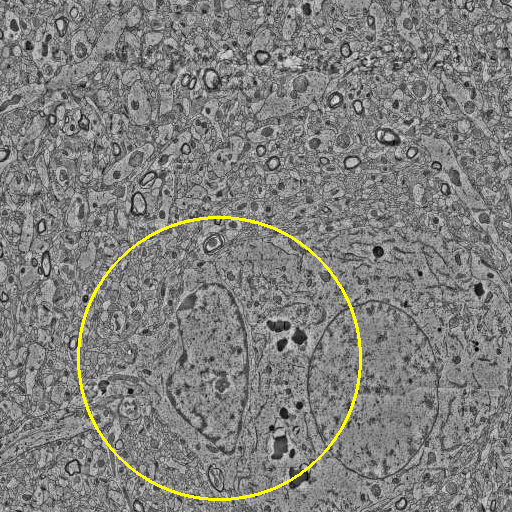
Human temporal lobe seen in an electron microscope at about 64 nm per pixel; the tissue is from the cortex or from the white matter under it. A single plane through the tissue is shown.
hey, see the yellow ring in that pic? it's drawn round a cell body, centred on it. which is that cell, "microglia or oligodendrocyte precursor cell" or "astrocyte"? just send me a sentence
The cell in the ring is a microglial cell or oligodendrocyte precursor cell.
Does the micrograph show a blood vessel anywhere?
No, no vessel shows anywhere in the image.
